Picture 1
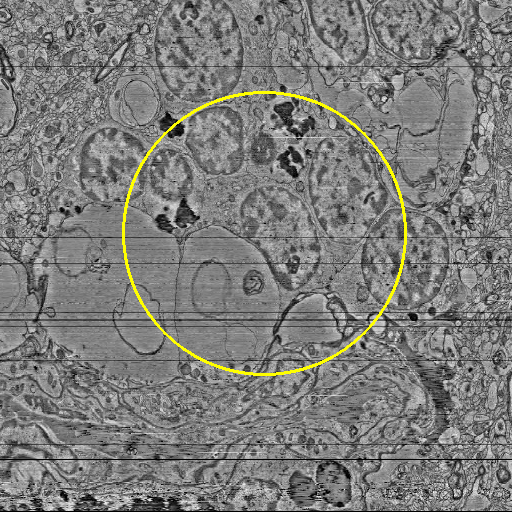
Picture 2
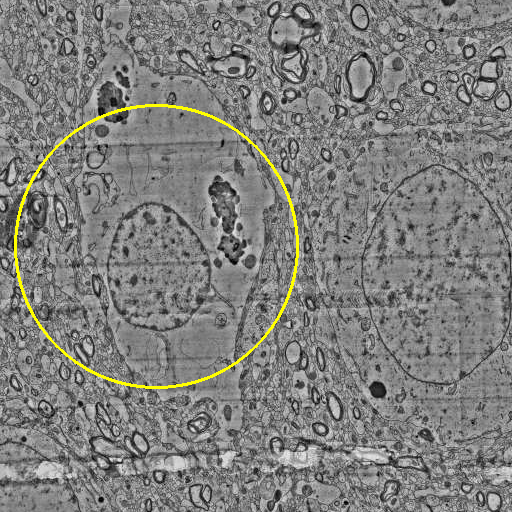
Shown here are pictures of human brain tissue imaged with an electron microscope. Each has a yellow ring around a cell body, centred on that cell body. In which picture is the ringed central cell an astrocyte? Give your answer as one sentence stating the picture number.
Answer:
My answer is picture 2, where the ringed cell at the centre is the one sought.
